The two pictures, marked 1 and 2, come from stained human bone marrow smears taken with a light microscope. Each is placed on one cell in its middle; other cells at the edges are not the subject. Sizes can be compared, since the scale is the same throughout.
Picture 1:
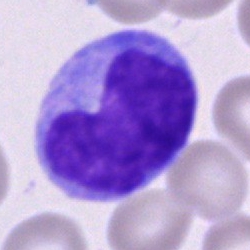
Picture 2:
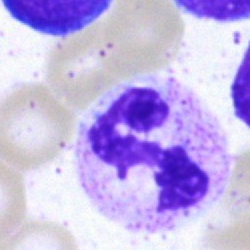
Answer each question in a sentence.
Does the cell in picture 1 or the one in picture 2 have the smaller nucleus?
Picture 2 shows the smaller nucleus, since that in picture 1 covers about 2 times as much area.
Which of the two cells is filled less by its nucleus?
In picture 2 the nucleus takes up the smaller part of its cell.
